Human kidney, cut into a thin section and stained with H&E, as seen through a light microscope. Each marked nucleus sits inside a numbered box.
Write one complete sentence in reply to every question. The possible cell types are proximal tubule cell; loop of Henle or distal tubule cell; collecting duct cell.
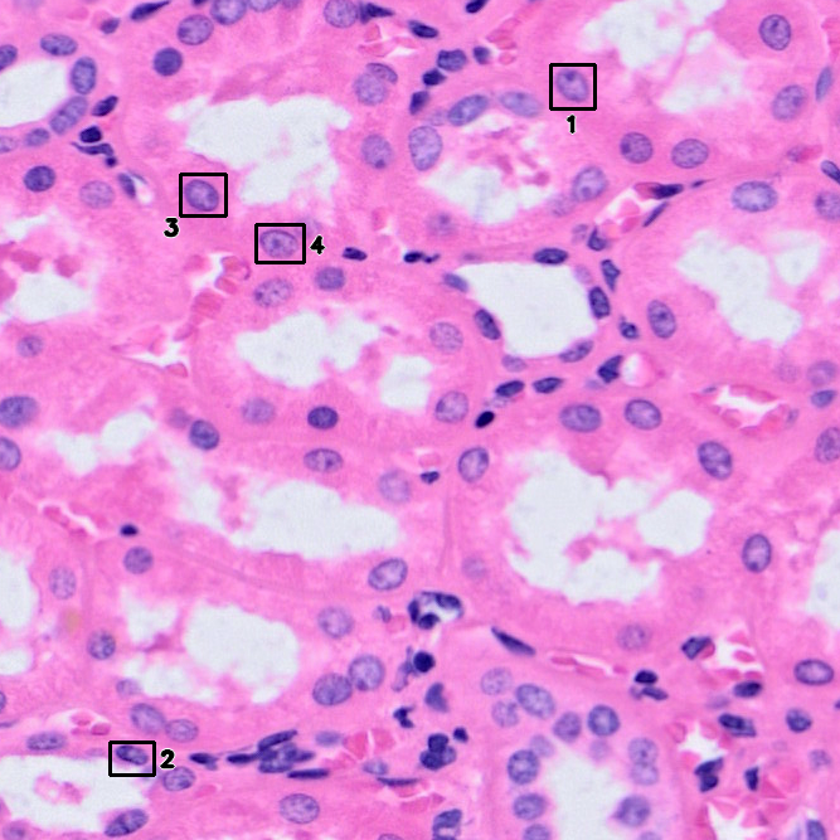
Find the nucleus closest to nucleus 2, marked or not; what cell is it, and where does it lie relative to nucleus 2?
It is a loop of Henle or distal tubule cell, whose nucleus lies below and to the right of nucleus 2.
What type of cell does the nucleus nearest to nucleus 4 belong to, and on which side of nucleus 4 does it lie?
The nearest one is a proximal tubule cell, found above and to the right of nucleus 4.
